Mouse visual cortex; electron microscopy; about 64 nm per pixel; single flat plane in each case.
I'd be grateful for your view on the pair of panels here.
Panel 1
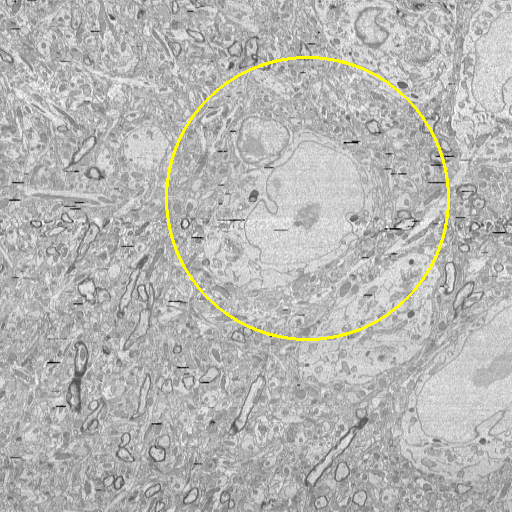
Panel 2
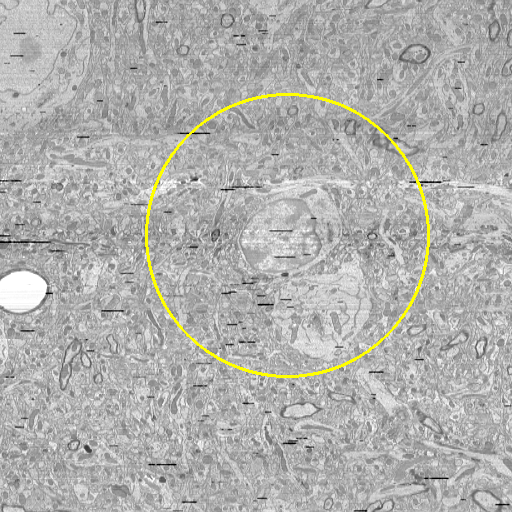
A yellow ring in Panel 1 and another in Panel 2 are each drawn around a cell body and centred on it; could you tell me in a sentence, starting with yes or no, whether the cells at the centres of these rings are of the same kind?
No, they are two kinds of cell.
